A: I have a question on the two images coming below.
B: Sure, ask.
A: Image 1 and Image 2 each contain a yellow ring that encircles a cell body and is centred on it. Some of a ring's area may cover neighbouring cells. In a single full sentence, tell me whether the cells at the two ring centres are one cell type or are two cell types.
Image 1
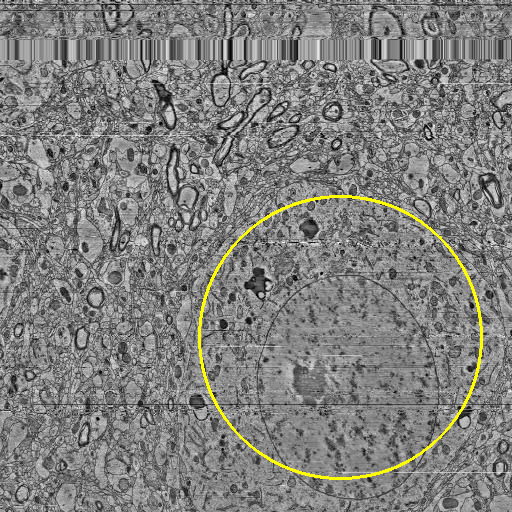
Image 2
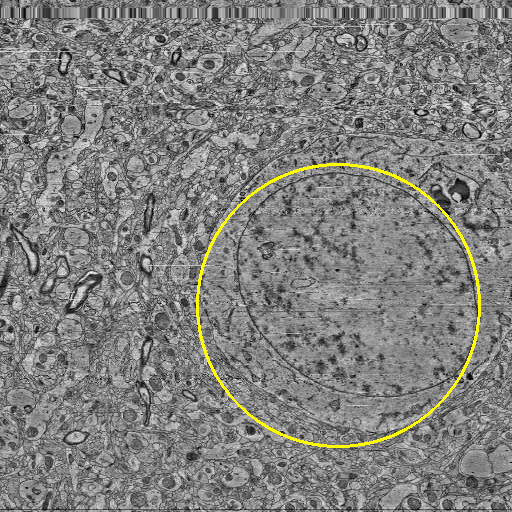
As for the ring-centre cells, the one in Image 1 and the one in Image 2 are one cell type.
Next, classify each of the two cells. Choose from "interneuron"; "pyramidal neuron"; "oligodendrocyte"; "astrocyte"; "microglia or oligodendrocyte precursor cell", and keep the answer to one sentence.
In both pictures the ring is centred on a pyramidal neuron.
